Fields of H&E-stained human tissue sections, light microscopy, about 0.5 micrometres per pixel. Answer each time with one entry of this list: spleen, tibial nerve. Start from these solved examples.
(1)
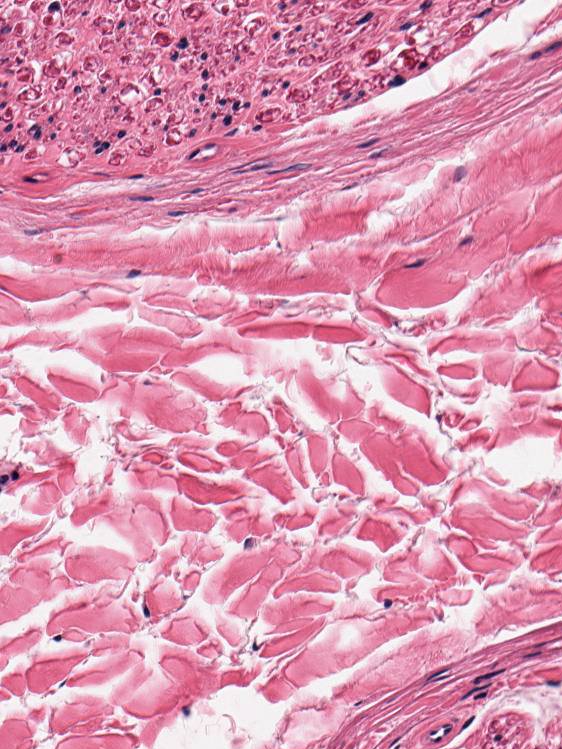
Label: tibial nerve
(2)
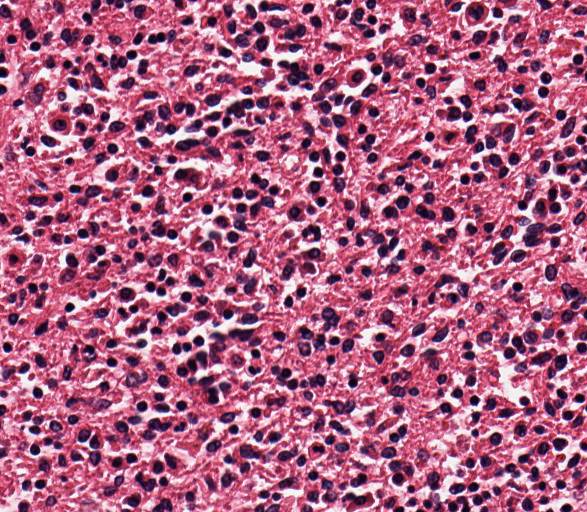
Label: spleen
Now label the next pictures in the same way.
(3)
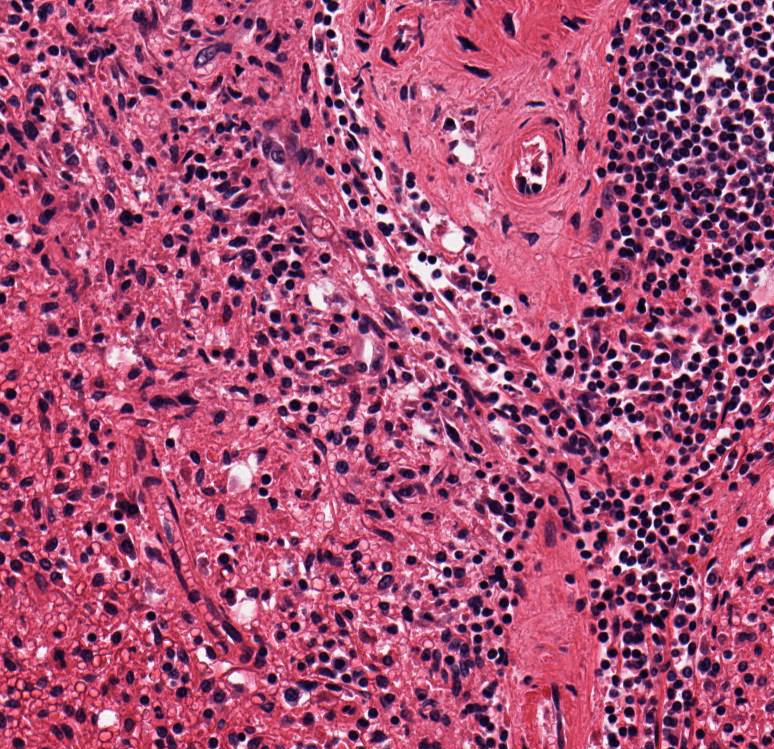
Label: spleen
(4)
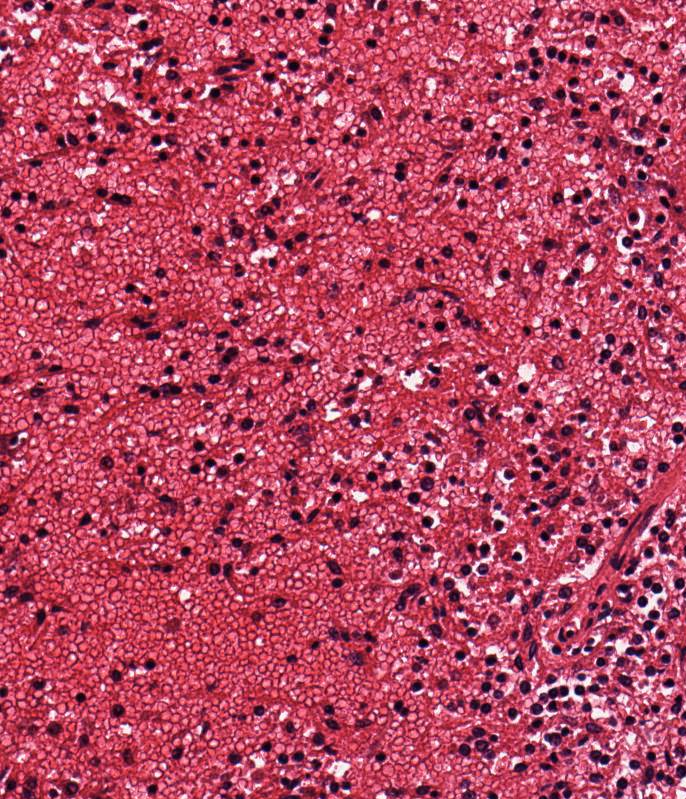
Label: spleen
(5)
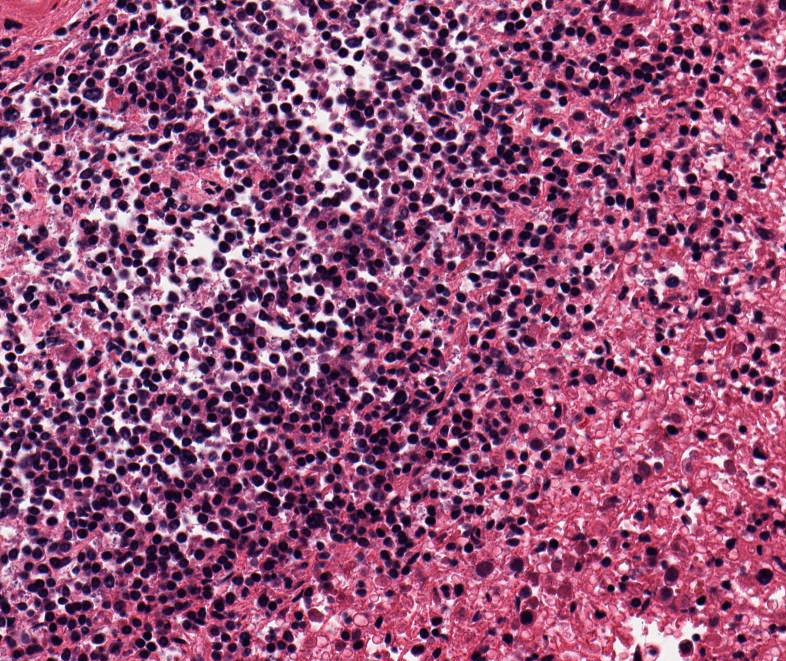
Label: spleen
